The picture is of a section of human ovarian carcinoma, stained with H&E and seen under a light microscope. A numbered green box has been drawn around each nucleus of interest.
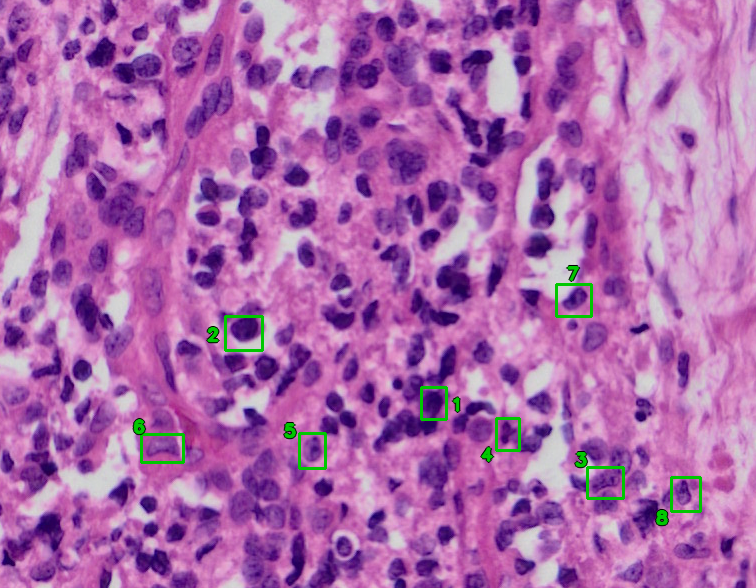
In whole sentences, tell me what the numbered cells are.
Cells 1, 2, 3 and 4 are carcinoma cells. Cells 5, 7 and 8 are macrophages or monocytes. Cell 6 is an endothelial cell.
